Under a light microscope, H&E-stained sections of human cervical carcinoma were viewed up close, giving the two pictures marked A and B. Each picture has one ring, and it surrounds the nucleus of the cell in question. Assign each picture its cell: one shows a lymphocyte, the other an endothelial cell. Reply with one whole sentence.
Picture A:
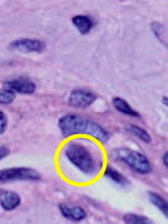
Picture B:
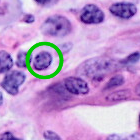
Picture A is of an endothelial cell, and picture B is of a lymphocyte.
